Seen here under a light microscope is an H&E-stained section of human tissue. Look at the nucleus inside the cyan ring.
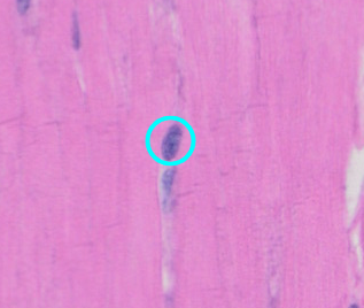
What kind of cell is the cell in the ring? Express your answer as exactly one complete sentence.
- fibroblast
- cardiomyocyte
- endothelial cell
To be brief about it, the cell in the ring is a fibroblast.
